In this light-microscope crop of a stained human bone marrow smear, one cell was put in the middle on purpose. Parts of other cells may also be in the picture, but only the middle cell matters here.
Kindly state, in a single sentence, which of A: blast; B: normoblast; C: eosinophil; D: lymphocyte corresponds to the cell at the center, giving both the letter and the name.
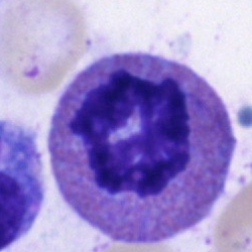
The middle of the crop holds an eosinophil, which points to option C.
